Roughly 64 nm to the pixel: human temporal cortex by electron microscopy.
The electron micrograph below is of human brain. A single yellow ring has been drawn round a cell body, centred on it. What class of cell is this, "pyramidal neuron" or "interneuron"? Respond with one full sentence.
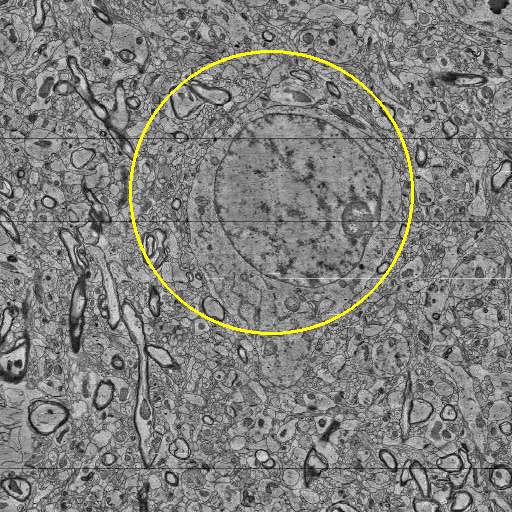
In the micrograph, the cell centred inside the yellow ring is a pyramidal neuron.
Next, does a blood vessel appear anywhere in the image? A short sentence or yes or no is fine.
No, none appears.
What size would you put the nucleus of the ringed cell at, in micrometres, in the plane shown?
The nucleus measures about 11 micrometers across in this plane.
